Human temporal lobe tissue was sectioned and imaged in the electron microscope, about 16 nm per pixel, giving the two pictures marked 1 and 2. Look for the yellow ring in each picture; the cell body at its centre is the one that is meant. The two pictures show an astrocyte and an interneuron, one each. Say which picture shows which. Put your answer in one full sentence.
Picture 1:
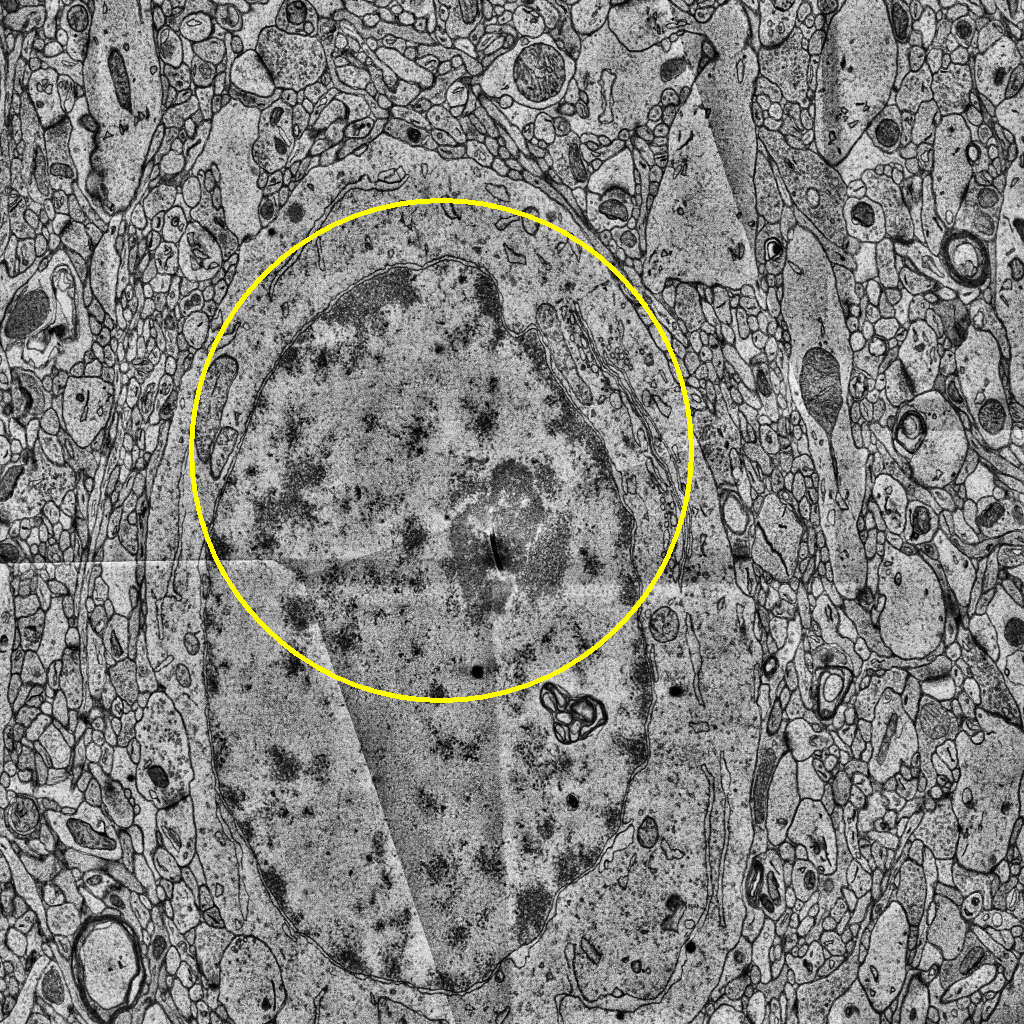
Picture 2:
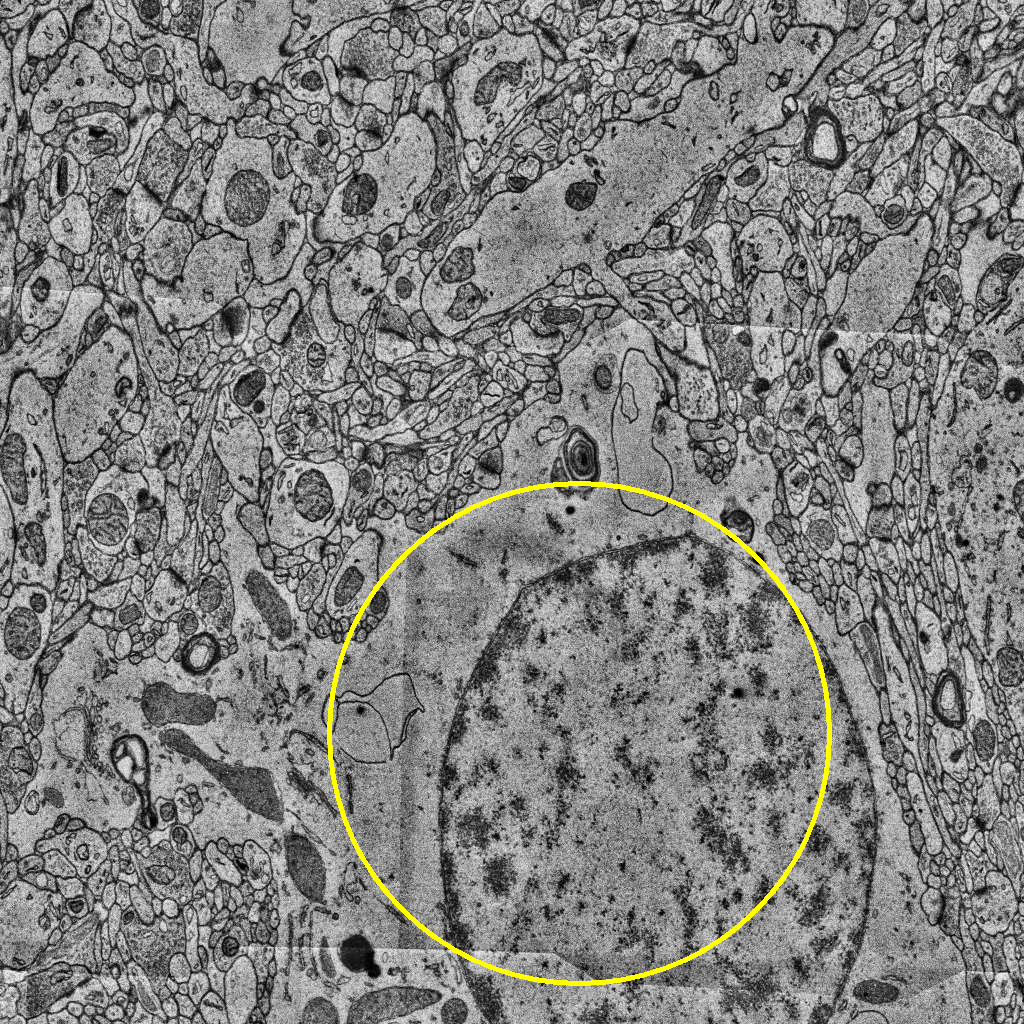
Picture 2 shows an astrocyte, while picture 1 shows an interneuron.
